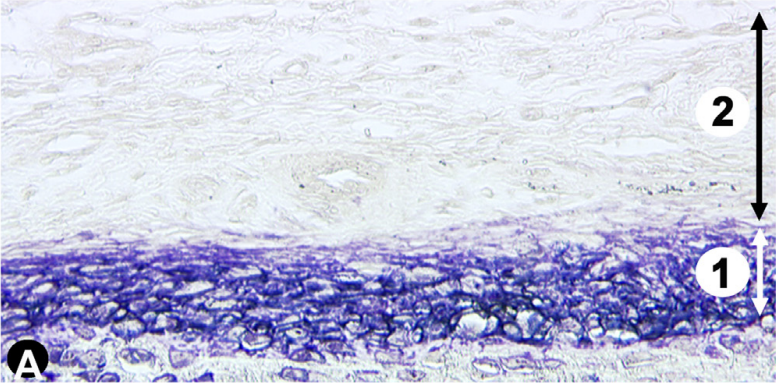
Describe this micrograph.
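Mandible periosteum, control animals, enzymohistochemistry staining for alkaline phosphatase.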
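The stain outlines rounded, closely packed cells of the osteogenic lineage forming a band several cells thick. The overlying fibrous layer, with elongated spaces and fibres, remains nearly unstained, so the two compartments are sharply set apart.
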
